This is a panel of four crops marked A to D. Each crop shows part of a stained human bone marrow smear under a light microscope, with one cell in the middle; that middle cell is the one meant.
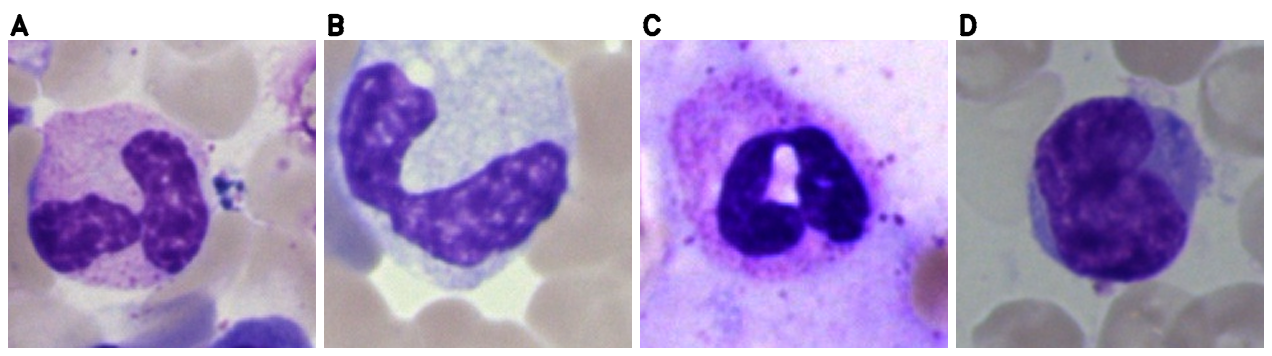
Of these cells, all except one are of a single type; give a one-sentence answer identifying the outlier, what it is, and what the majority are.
Crop D does not match the others; it shows a monocyte, and they show neutrophils.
